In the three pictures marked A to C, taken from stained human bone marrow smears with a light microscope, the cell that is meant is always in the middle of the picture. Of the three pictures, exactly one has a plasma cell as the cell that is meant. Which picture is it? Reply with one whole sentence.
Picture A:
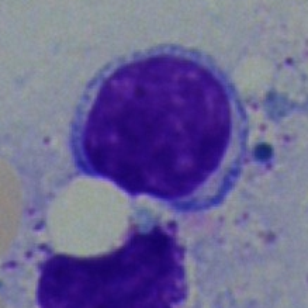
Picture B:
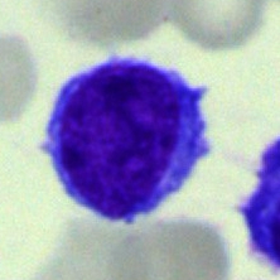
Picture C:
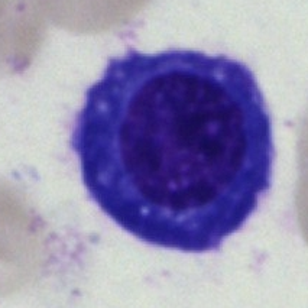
Picture C shows the plasma cell.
